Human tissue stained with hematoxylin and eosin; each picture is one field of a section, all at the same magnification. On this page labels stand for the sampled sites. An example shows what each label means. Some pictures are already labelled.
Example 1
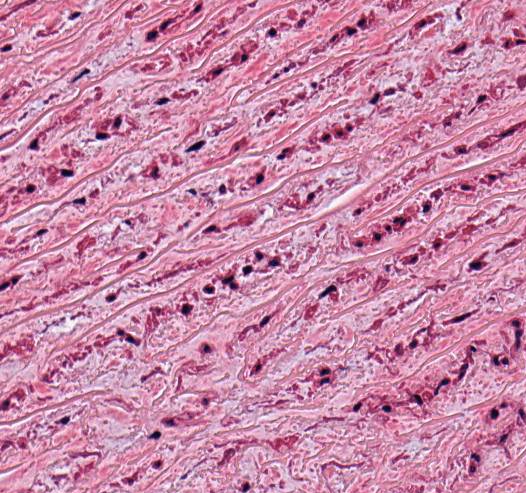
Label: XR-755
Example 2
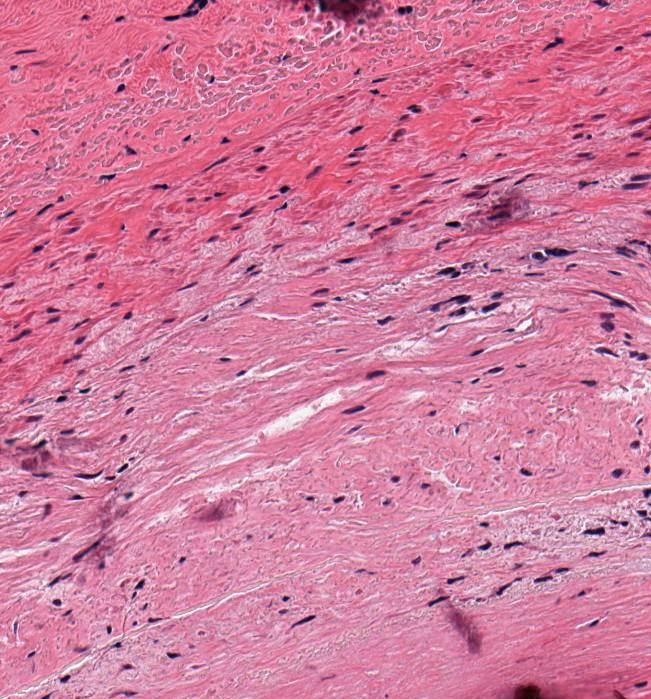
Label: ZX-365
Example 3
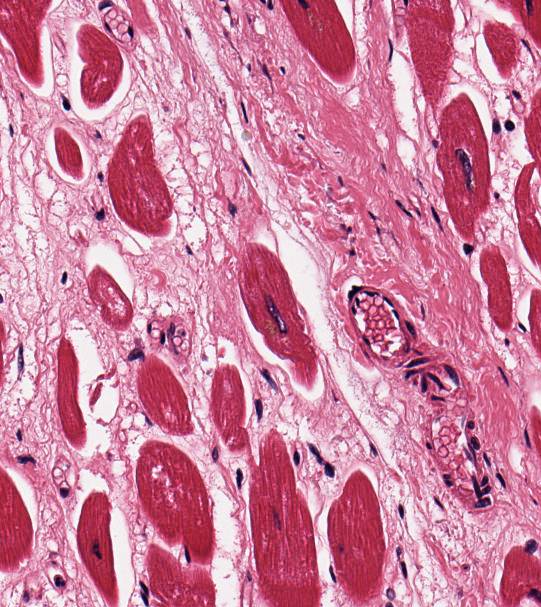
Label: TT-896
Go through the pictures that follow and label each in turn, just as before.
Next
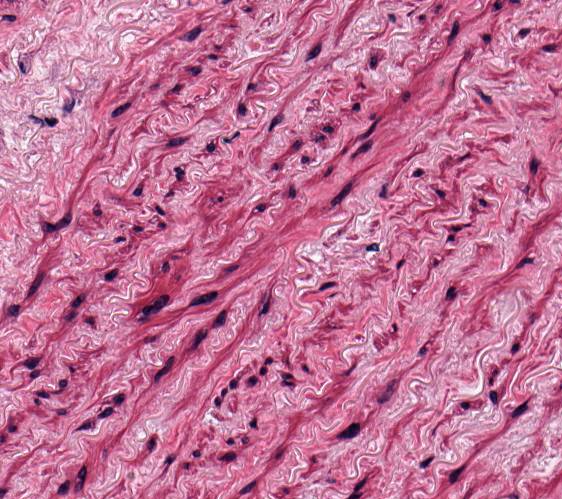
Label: XR-755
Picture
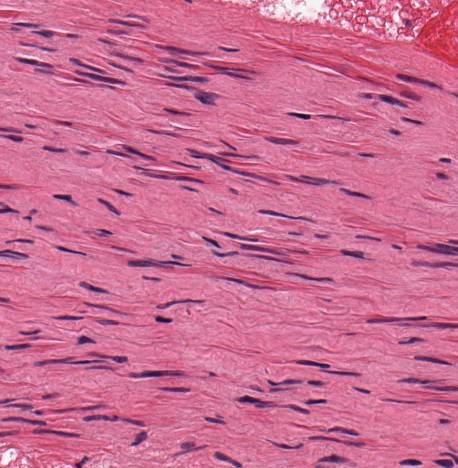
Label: ZX-365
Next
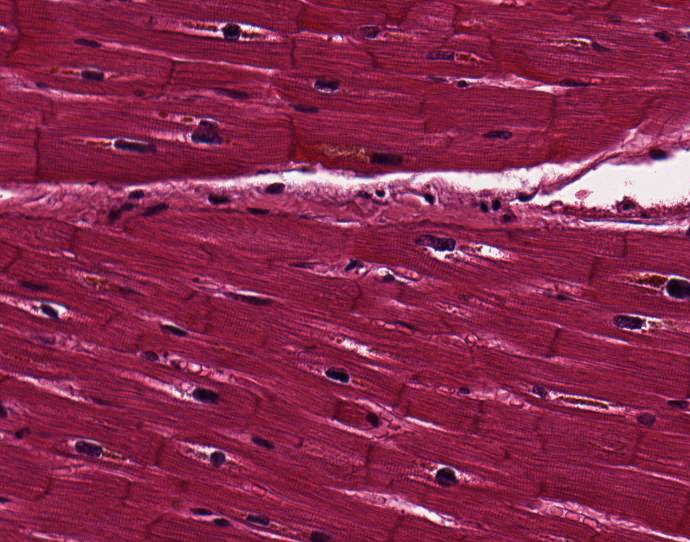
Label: TT-896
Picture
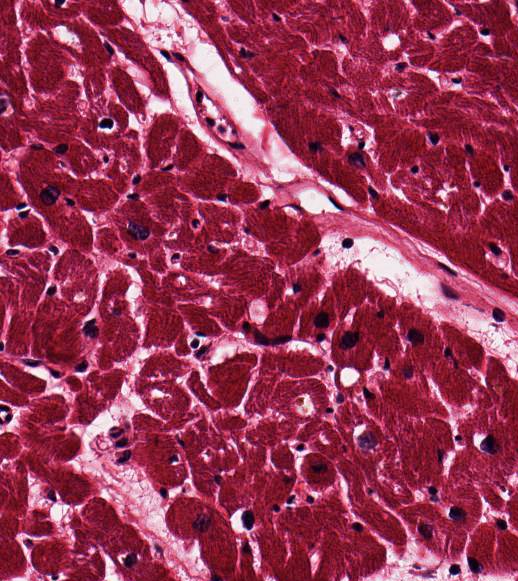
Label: TT-896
